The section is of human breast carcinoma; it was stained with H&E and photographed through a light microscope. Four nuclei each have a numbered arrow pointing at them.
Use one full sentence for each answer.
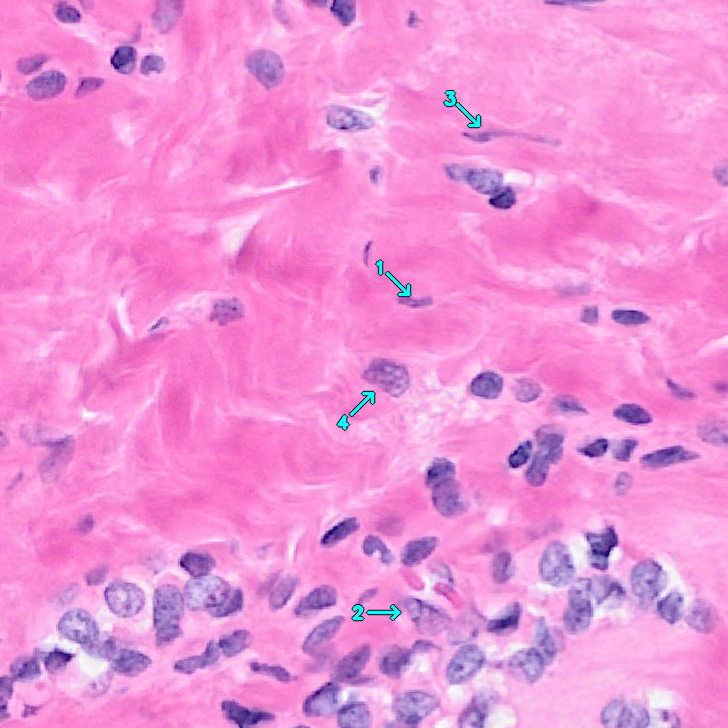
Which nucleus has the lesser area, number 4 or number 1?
Nucleus 1 covers less area, with nucleus 4 about 4 times as large.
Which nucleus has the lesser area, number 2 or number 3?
Nucleus 3 is the smaller one; nucleus 2 covers about 3 times its area.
